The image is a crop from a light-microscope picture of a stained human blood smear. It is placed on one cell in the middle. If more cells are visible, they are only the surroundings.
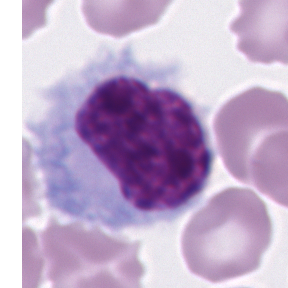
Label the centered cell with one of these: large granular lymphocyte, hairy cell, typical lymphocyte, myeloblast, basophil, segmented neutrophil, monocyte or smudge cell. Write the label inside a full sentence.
At the center of the crop sits a hairy cell.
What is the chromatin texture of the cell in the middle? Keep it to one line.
In this nucleus, the chromatin is arranged in coarse clumps.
